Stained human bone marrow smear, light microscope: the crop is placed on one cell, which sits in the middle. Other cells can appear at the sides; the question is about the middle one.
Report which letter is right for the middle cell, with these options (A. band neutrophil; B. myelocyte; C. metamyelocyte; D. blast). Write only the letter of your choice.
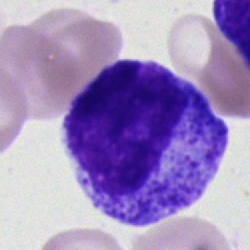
B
